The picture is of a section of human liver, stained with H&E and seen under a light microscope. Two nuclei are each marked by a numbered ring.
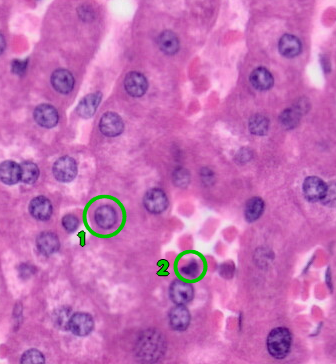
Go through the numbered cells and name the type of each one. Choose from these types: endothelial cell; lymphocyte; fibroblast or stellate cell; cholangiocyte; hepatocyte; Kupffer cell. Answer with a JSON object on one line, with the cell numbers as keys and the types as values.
{"1": "hepatocyte", "2": "fibroblast or stellate cell"}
